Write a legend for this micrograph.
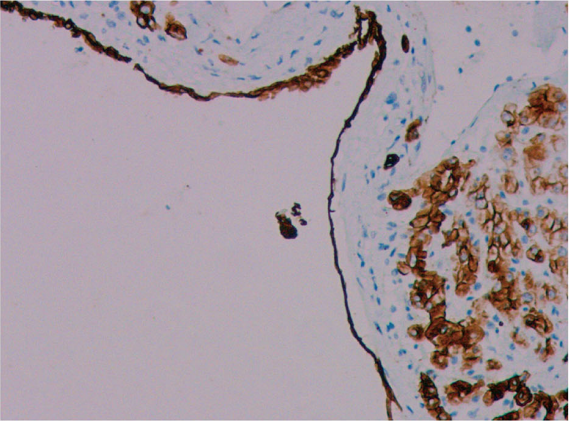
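A cyst is lined by a thin, continuous layer of flattened epithelium that stains brown along the lumen. Beneath it lies a pale fibrous wall with scattered blue nuclei, and beside this are nests of polygonal cells with brown-outlined membranes and pale centres.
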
